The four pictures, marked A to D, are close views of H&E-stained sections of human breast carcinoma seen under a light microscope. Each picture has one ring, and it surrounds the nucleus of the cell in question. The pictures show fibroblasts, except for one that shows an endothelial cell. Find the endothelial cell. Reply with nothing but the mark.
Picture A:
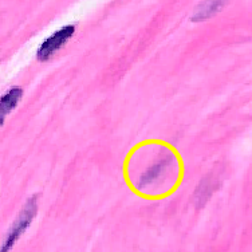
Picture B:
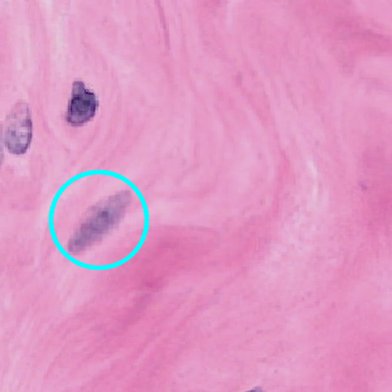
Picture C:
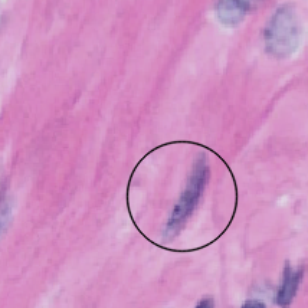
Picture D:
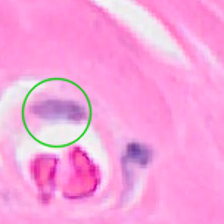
D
